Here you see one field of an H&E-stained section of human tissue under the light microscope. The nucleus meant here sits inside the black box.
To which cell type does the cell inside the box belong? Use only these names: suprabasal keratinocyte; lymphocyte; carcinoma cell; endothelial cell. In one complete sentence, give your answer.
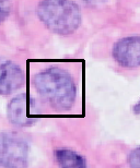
In the tissue under study, the cell inside the box is a carcinoma cell.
